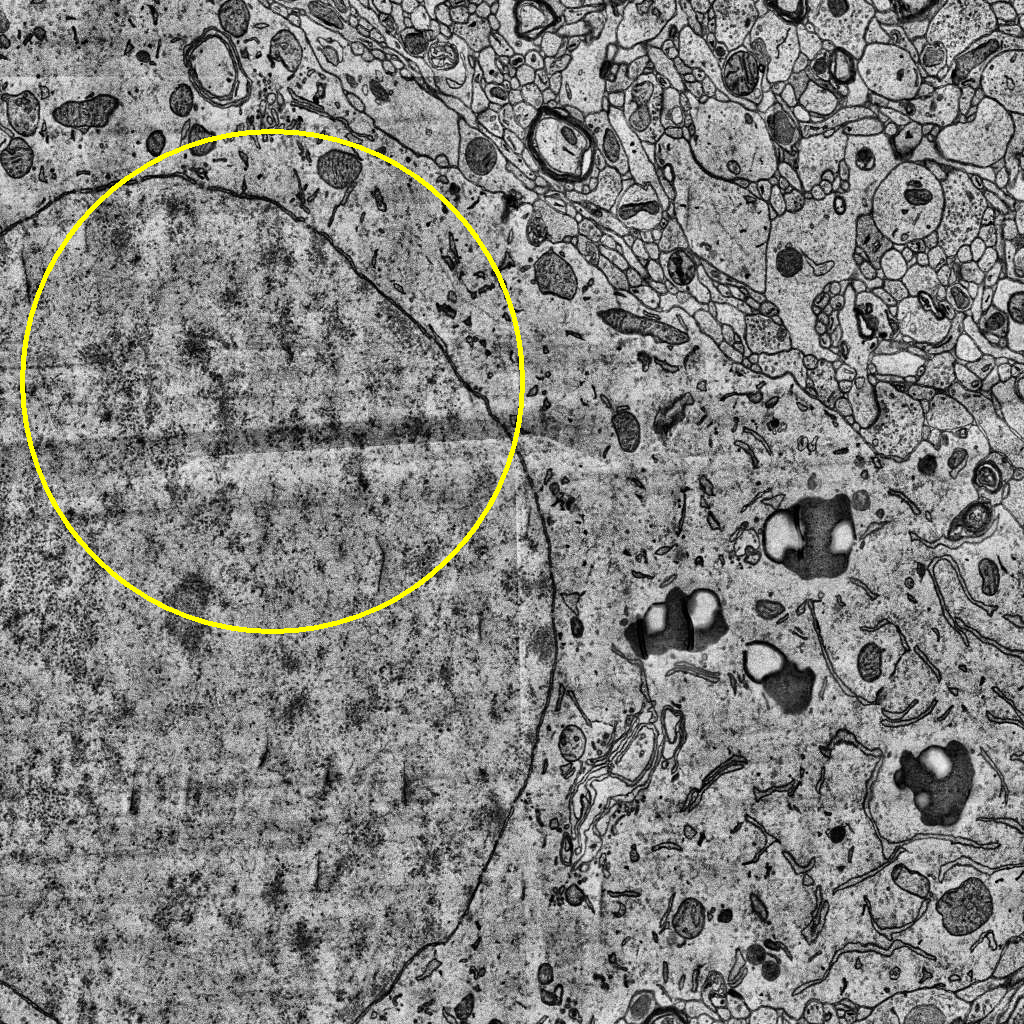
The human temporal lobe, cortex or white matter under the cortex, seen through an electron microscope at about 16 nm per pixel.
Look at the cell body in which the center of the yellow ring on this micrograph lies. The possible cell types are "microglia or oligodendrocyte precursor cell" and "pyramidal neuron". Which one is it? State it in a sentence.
The cell at the middle of the ring is a pyramidal neuron.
